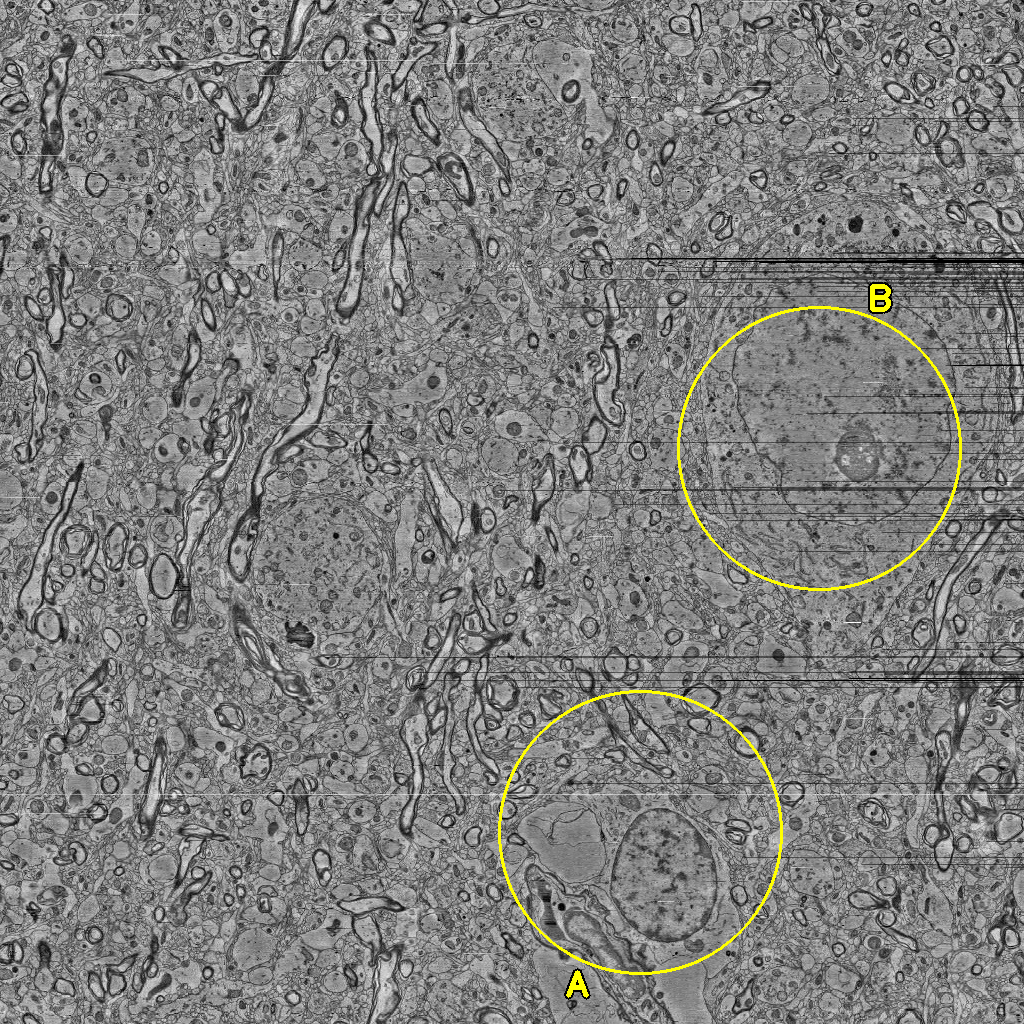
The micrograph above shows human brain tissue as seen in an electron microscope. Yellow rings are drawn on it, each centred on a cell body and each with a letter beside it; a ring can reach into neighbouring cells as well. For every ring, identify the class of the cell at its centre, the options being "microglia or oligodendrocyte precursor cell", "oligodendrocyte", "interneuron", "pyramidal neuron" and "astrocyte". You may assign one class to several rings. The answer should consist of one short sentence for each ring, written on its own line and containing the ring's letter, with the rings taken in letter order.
The ring lettered A is centred on a microglial cell or oligodendrocyte precursor cell.
The ring lettered B is centred on a pyramidal neuron.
